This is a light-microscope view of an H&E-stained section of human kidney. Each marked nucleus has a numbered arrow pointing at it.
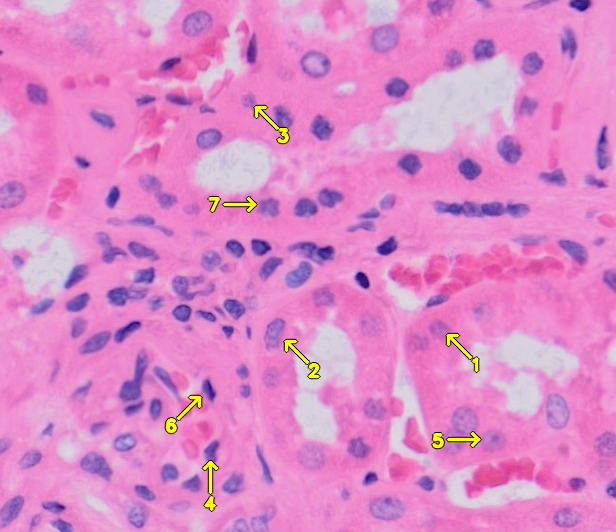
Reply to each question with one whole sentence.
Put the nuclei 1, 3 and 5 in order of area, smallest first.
Smallest first, the nuclei run 3, 1, 5.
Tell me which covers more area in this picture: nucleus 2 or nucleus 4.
Nucleus 2 is the larger one, covering about 1.5 times the area of nucleus 4.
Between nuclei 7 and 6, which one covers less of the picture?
Number 6 is smaller, since number 7 takes up about 2 times as much area.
